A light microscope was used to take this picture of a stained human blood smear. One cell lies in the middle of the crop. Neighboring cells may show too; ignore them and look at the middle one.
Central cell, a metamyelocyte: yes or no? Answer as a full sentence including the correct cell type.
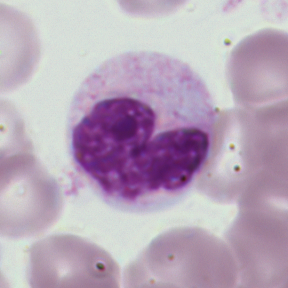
No, the cell found centrally in the crop is a band neutrophil, not a metamyelocyte.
